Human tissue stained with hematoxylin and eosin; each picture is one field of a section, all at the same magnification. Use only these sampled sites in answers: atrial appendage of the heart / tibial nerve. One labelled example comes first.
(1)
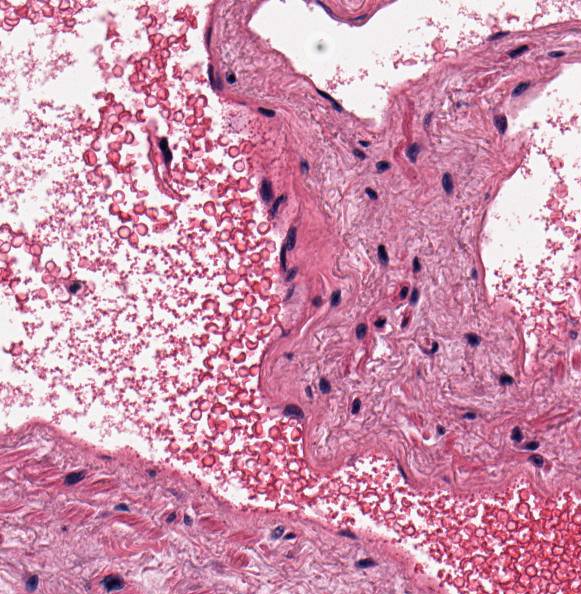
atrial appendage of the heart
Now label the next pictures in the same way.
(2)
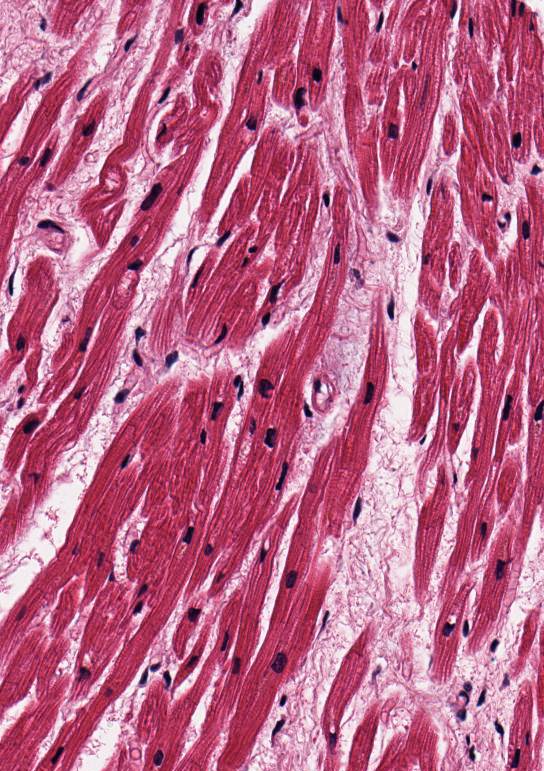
atrial appendage of the heart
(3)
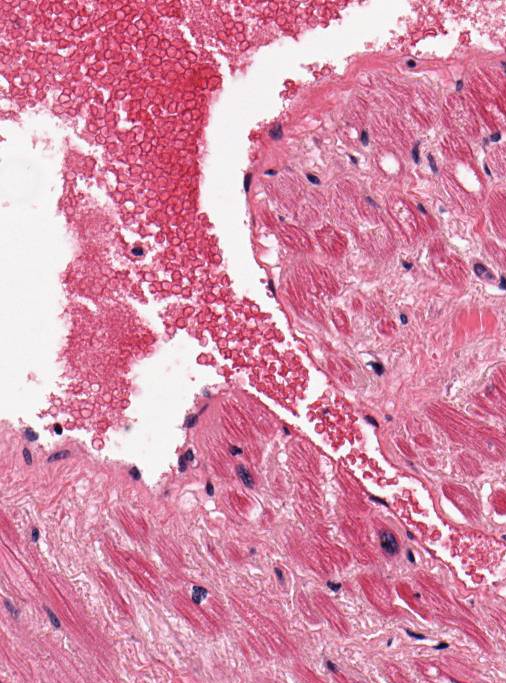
atrial appendage of the heart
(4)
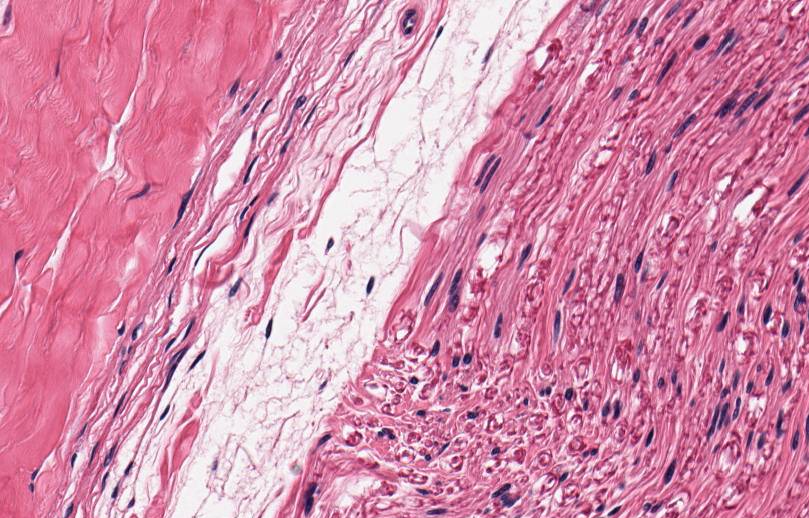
tibial nerve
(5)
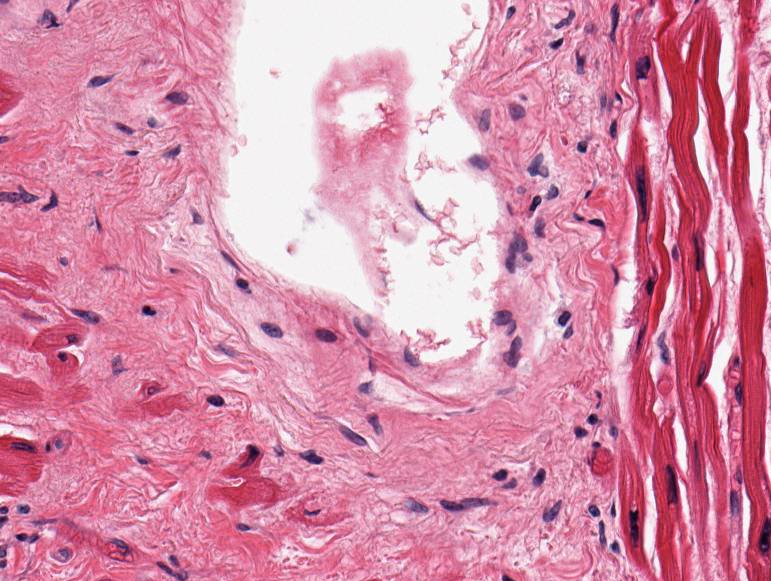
atrial appendage of the heart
